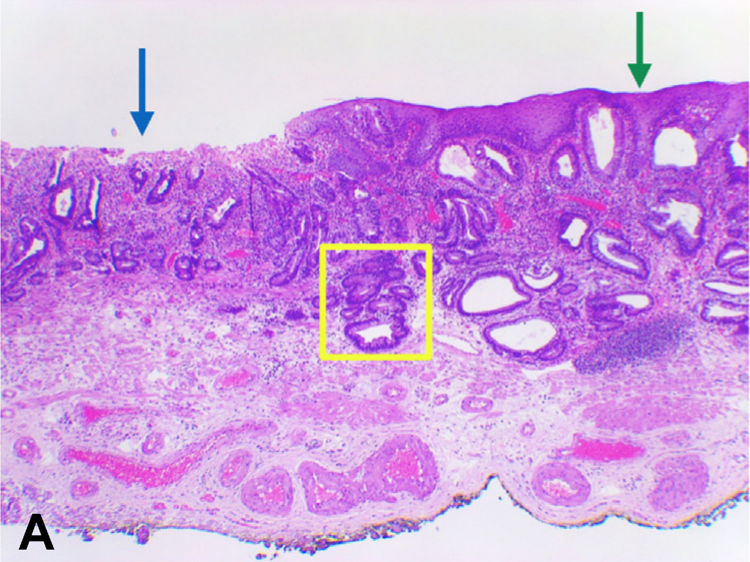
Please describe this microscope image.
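This is a low-power section of esophageal wall showing squamous epithelium, glandular mucosa with abnormal glands, and deeper layers. On the right the surface is covered by a thick, stratified squamous epithelium. Toward the left the squamous covering is lost and the mucosa is filled with crowded, irregular glands of varying size, some cystically dilated with clear lumens. Dark-staining glands reach down to a pale pink band of smooth muscle. A dense blue lymphoid aggregate sits at the base of the mucosa. Beneath lies loose pale submucosa with thick-walled blood vessels containing red blood.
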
